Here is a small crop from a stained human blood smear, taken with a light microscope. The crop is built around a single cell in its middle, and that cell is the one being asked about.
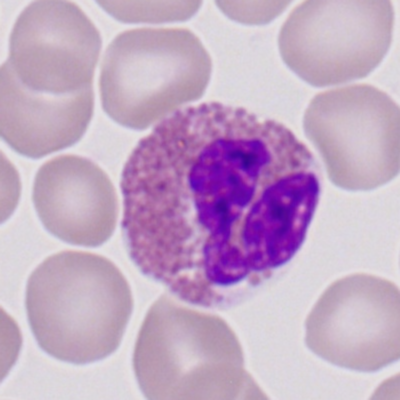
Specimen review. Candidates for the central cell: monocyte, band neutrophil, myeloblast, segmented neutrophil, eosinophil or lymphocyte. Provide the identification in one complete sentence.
The central cell in this smear crop is an eosinophil.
